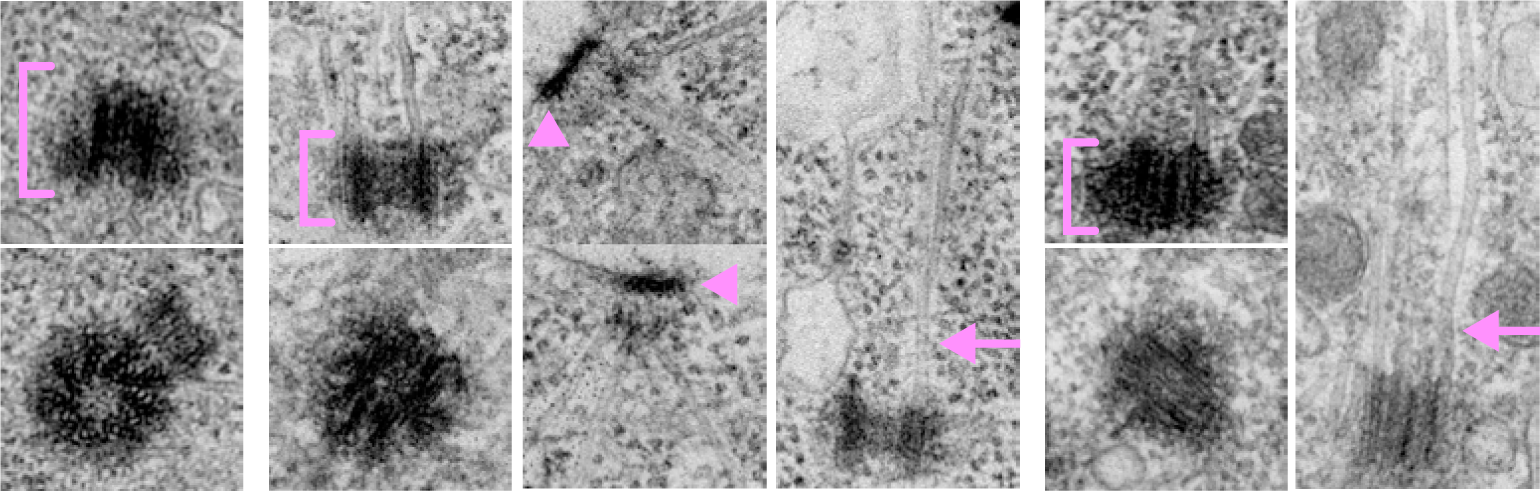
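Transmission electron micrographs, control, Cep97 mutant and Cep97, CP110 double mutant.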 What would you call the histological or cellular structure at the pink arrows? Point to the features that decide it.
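Thin straight tubular filaments run from the end of a dense barrel. The filaments extend well beyond the barrel into the cytoplasm. On this evidence: Individual microtubules.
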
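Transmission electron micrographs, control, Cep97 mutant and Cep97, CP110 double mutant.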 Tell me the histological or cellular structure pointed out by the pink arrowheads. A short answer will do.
Disc-like structures.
